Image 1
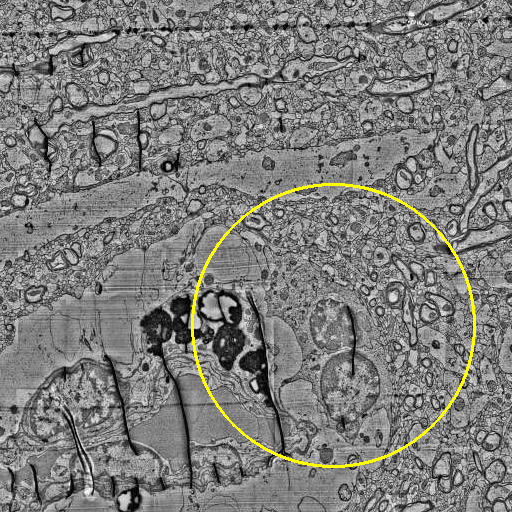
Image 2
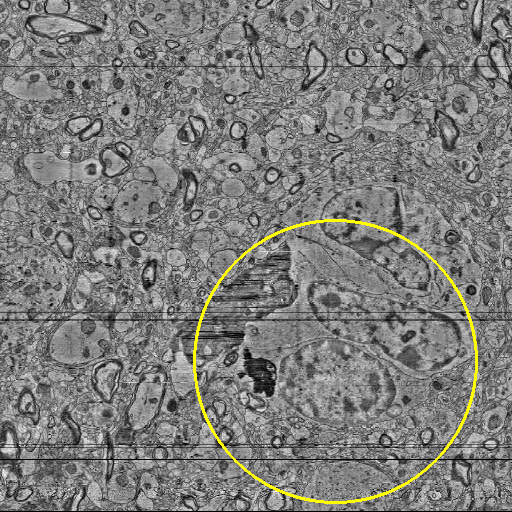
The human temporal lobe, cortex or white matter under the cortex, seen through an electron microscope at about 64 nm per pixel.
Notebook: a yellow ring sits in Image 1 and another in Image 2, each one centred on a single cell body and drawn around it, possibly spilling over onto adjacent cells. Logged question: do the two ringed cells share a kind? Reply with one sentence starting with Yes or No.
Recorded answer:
Yes, both centre cells inside the rings of Image 1 and Image 2 share one kind.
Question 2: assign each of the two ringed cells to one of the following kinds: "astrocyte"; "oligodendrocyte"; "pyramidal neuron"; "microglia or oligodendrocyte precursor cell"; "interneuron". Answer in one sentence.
The second cell is an oligodendrocyte, just as the first is.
